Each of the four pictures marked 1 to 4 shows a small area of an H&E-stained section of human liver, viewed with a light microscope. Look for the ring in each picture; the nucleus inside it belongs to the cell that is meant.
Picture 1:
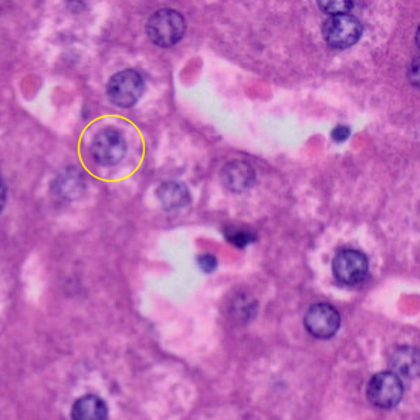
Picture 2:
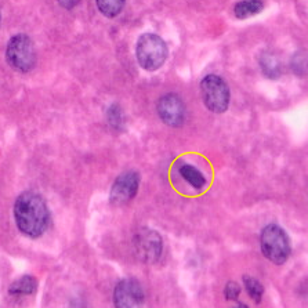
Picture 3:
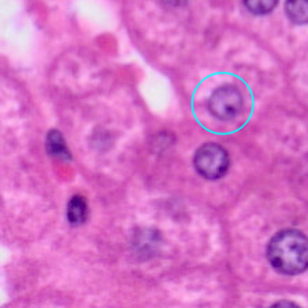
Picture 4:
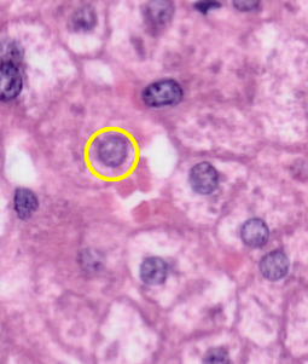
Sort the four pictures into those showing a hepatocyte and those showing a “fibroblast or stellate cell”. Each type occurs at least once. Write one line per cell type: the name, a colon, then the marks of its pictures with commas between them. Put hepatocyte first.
hepatocyte: 1, 3, 4
fibroblast or stellate cell: 2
